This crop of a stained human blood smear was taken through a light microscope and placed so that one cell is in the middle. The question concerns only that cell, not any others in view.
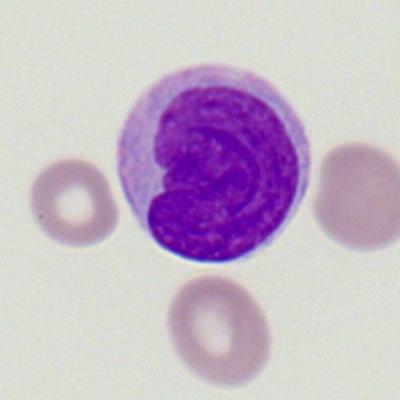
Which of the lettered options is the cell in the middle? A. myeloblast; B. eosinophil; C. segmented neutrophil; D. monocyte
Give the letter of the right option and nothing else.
A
